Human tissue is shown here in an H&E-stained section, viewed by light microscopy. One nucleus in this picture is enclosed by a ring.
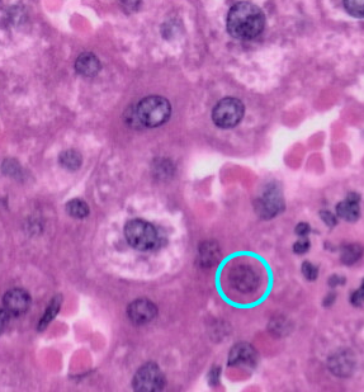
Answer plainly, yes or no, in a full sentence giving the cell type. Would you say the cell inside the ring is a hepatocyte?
Yes, the cell inside the ring is to be classified as a hepatocyte.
